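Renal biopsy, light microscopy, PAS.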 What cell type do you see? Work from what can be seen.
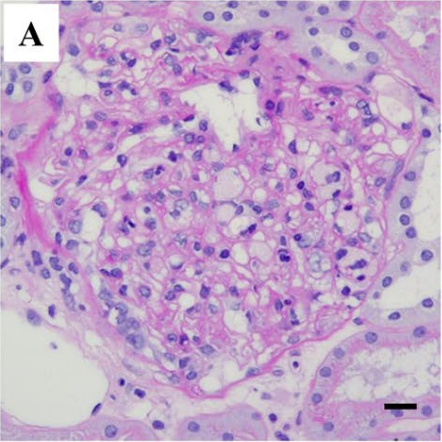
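Foam cells. The glomerular tuft is packed with cells whose cytoplasm is pale and finely bubbly. Many small clear vacuoles fill the capillary loops.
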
